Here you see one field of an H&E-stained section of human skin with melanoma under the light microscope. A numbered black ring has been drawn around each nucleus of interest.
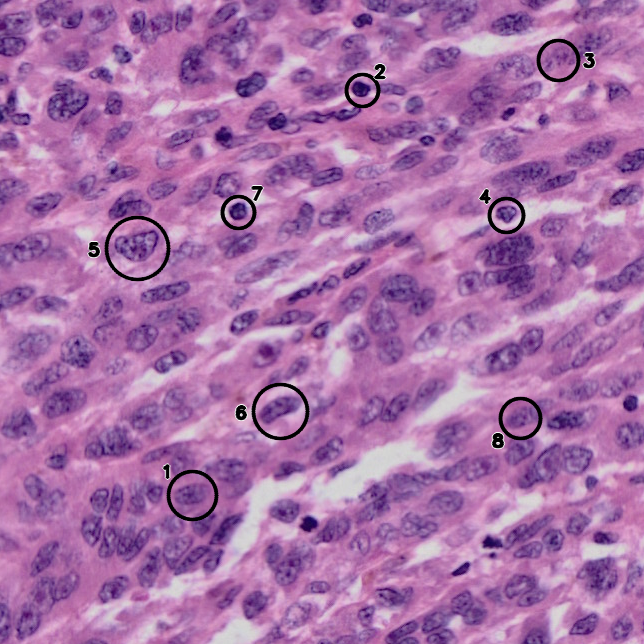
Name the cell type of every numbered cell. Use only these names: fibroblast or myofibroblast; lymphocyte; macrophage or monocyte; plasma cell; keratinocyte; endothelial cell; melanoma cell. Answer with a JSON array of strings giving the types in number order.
["melanoma cell", "lymphocyte", "melanoma cell", "lymphocyte", "melanoma cell", "melanoma cell", "lymphocyte", "melanoma cell"]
